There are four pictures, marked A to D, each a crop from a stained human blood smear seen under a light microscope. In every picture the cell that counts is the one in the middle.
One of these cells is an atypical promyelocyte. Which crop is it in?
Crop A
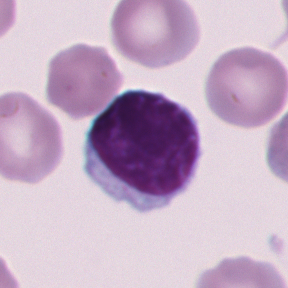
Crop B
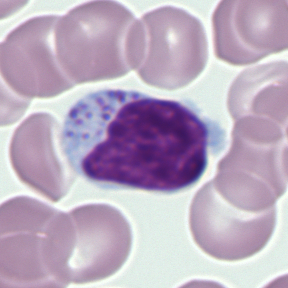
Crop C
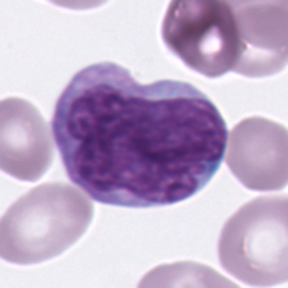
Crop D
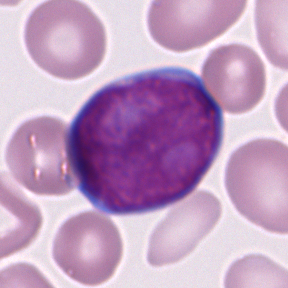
C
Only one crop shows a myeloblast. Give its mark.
D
